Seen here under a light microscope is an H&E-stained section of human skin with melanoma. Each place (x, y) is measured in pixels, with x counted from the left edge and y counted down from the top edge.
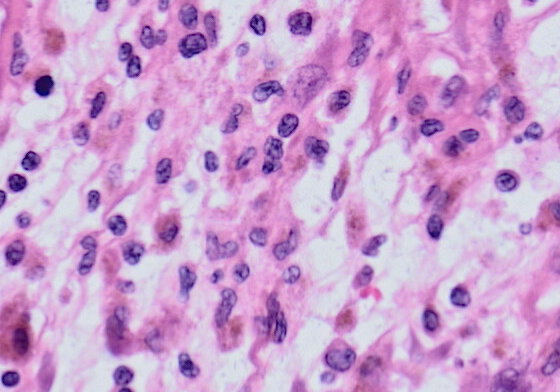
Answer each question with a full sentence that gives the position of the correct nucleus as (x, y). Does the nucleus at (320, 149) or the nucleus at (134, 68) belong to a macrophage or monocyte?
Of these two nuclei, only the one at (320, 149) belongs to a macrophage or monocyte.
